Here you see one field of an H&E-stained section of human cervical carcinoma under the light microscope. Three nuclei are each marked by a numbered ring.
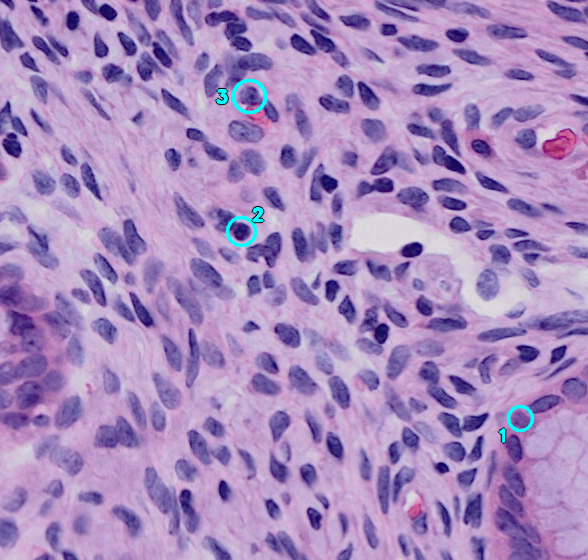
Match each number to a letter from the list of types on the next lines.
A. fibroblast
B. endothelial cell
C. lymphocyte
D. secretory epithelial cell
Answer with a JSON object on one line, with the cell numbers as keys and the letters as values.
{"1": "D", "2": "C", "3": "B"}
